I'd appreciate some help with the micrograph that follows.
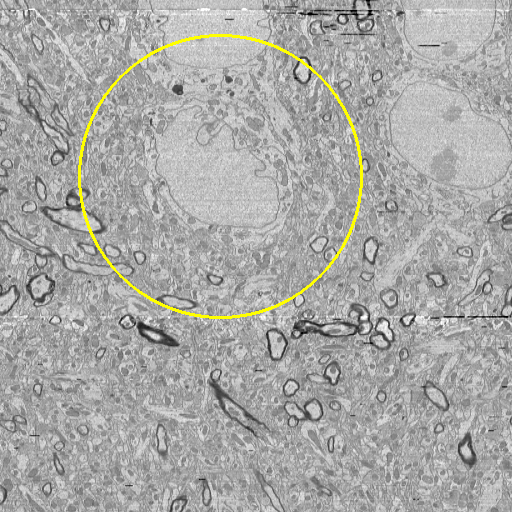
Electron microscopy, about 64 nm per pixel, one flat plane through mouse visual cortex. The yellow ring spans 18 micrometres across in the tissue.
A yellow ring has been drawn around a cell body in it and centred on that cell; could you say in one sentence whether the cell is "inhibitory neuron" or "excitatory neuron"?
It is an inhibitory neuron at the centre of the ring.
